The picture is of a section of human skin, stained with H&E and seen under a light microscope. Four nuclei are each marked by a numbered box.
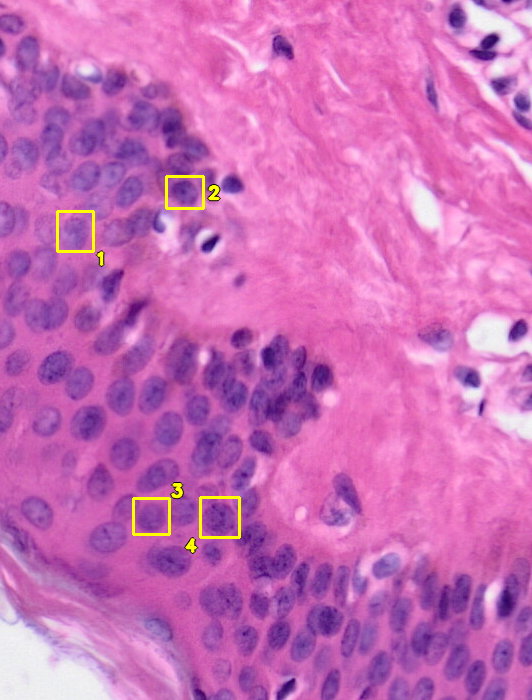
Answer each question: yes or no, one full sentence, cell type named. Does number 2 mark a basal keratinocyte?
Yes, regarding cell number 2, it is a basal keratinocyte.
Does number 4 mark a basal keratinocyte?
Yes, that is right: the cell labelled 4 is a basal keratinocyte.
